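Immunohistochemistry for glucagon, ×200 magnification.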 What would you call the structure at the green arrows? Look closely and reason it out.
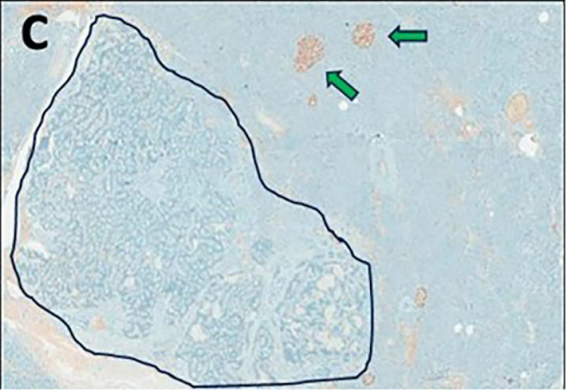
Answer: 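Normal islets. Small round clusters with brown stain lie in the blue-counterstained tissue outside the outlined area. The clusters are compact and well-delimited.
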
